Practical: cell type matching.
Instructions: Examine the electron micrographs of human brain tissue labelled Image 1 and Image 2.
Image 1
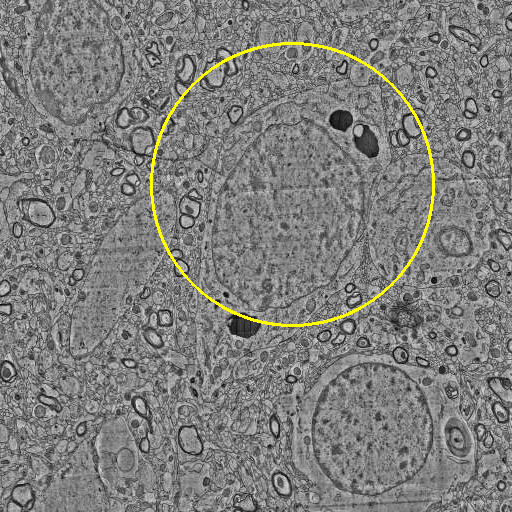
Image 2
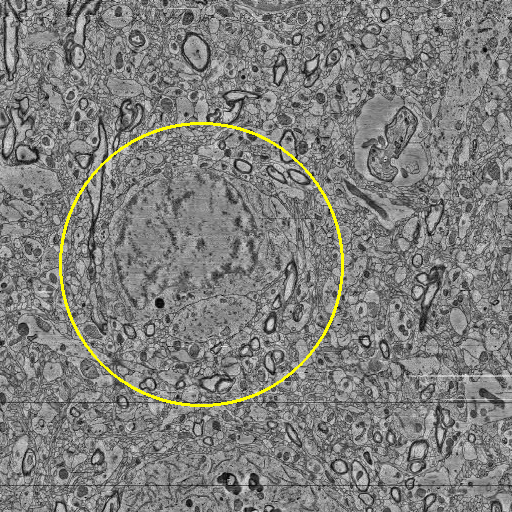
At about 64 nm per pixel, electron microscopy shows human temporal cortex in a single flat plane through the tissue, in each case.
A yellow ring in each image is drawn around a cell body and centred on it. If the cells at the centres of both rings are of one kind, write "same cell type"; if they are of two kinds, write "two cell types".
same cell type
